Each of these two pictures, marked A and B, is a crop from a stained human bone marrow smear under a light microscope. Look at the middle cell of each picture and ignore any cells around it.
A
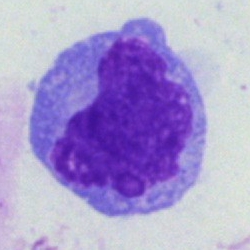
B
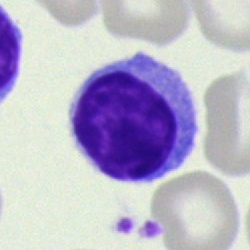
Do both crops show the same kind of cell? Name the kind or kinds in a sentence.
No, crop A features a monocyte, while crop B features a lymphocyte.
